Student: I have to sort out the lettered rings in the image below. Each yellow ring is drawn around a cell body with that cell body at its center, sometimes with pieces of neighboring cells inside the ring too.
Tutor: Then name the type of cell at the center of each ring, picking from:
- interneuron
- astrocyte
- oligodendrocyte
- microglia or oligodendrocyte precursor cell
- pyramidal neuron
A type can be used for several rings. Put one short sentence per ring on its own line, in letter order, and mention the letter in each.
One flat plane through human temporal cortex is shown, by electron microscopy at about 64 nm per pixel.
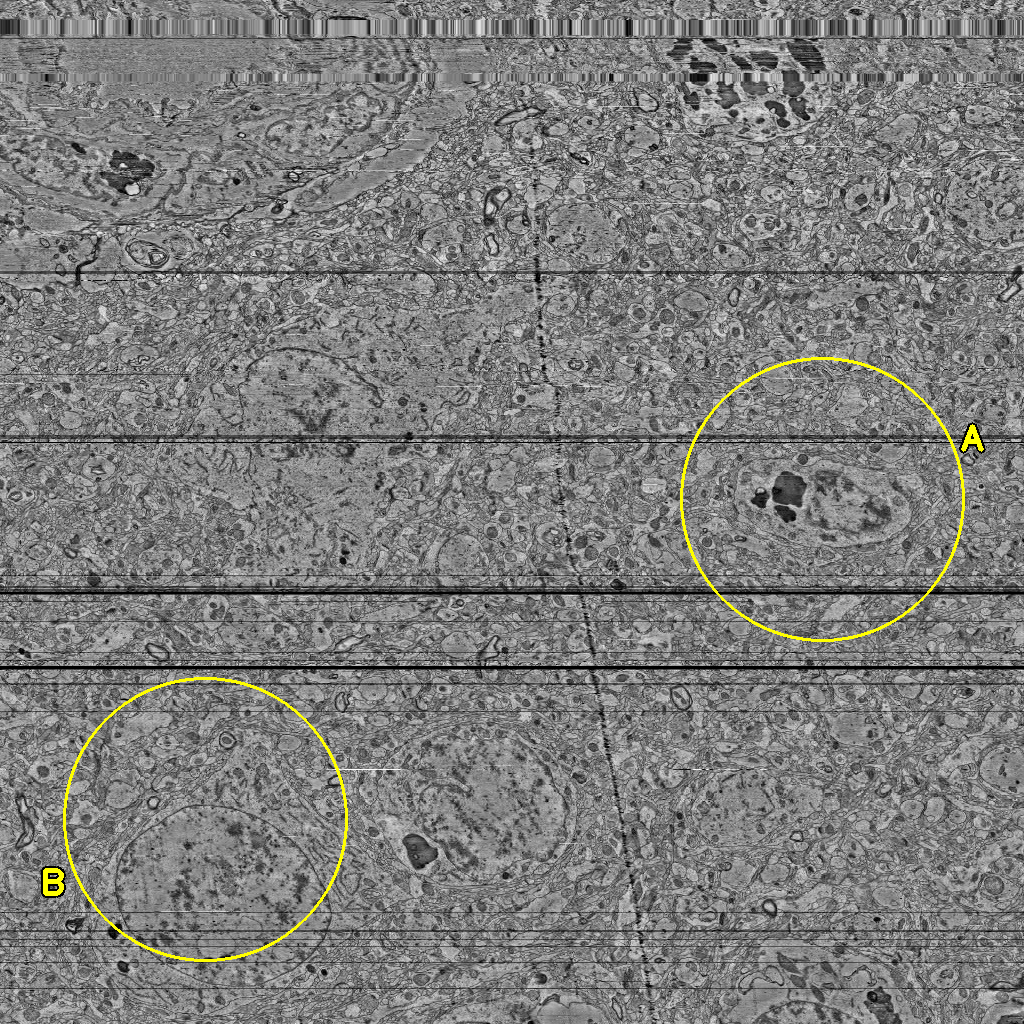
Inside ring A, at its center, is an interneuron.
Inside ring B, at its center, is a pyramidal neuron.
